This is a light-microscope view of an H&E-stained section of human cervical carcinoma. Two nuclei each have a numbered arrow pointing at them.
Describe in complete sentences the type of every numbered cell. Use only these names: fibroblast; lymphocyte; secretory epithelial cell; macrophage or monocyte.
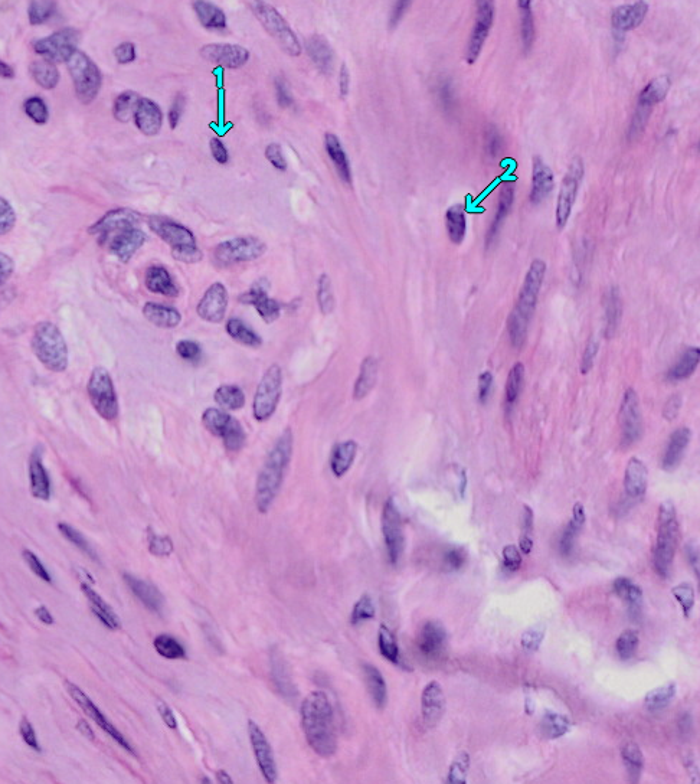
Cell 1 is a fibroblast and cell 2 is a lymphocyte.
